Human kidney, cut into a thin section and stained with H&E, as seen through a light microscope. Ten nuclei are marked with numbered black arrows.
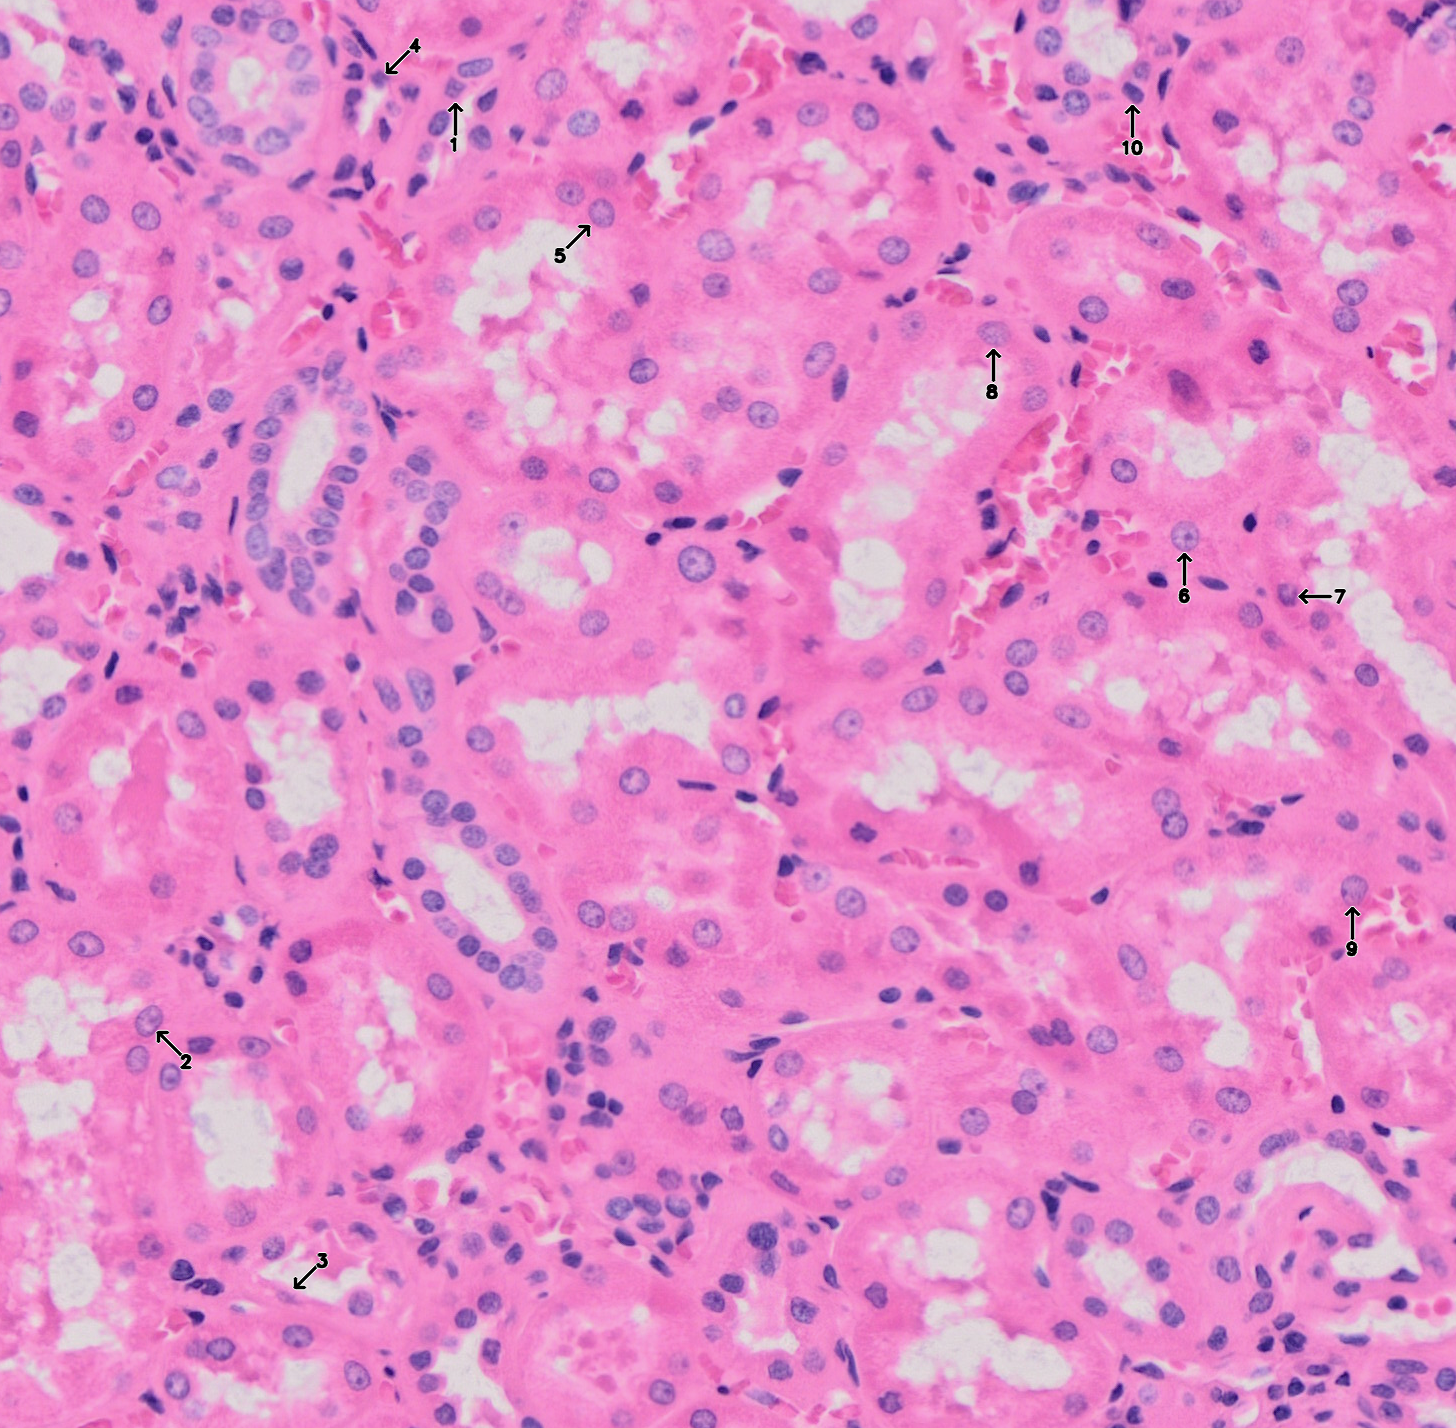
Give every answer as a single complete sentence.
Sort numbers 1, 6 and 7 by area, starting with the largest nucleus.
The nuclei rank 6, 7, 1, from largest to smallest.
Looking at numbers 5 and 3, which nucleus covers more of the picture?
Nucleus 5 is the larger one, covering about 2.5 times the area of nucleus 3.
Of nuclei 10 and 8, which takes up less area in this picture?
It is nucleus 10; nucleus 8 has about 2 times its area.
